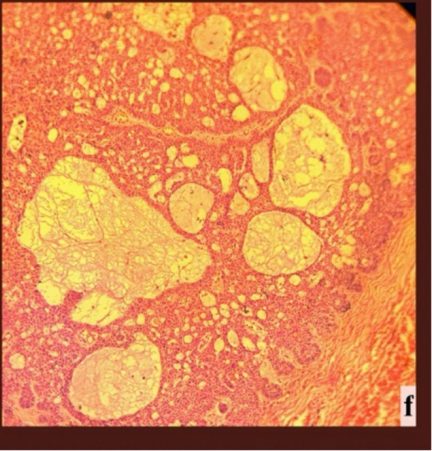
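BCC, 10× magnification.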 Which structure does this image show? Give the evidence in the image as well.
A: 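A dense sheet of tumor cells is perforated by many round spaces of varying size. Larger spaces contain pale, wispy material. So: cribriform and glandular-like structures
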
